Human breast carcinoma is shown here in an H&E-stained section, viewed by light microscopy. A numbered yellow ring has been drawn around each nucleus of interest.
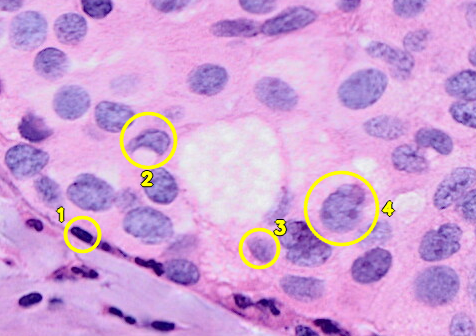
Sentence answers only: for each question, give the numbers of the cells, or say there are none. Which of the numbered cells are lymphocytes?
Only number 1 of the marked cells is a lymphocyte.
